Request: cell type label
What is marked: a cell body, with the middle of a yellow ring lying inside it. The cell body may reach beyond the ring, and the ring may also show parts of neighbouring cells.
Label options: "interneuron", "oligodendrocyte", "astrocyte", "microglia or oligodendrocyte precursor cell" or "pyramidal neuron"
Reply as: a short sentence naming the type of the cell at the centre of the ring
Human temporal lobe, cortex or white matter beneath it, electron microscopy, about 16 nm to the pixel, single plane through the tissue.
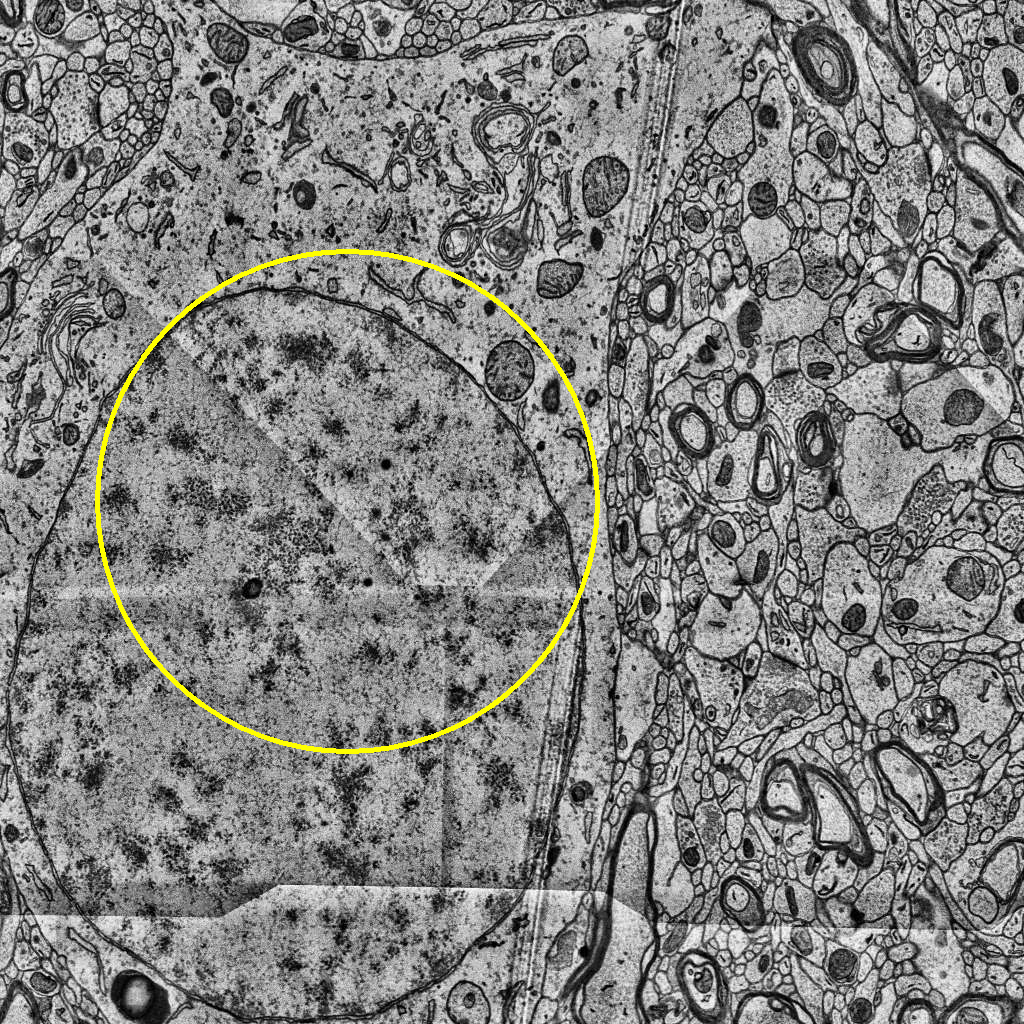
The marked cell body is that of a pyramidal neuron.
